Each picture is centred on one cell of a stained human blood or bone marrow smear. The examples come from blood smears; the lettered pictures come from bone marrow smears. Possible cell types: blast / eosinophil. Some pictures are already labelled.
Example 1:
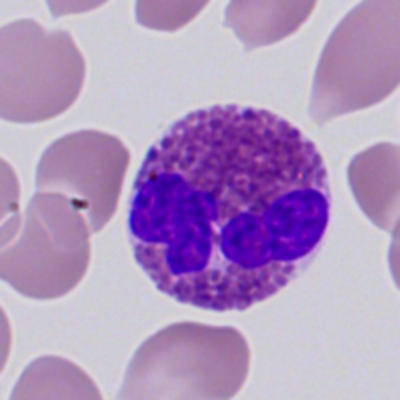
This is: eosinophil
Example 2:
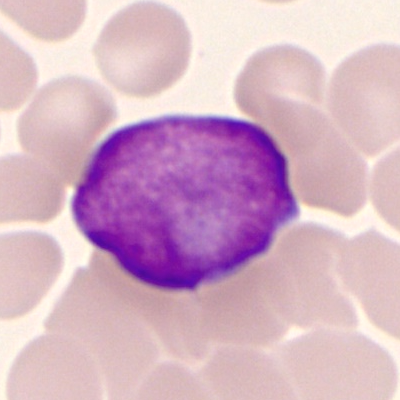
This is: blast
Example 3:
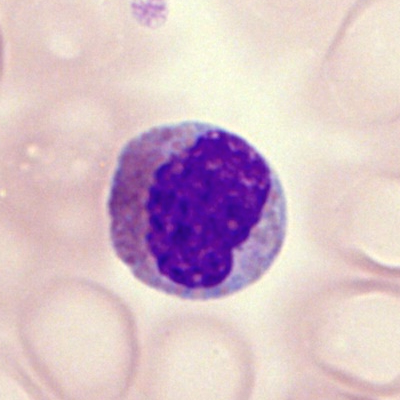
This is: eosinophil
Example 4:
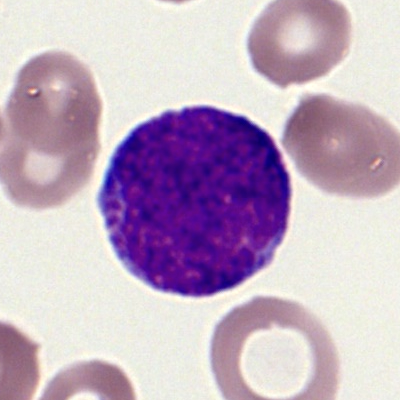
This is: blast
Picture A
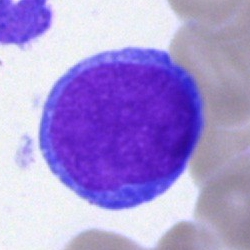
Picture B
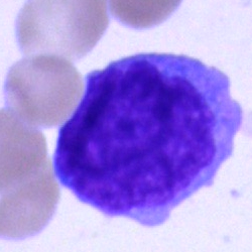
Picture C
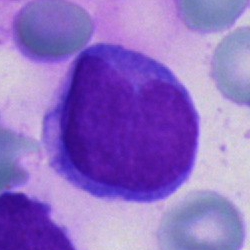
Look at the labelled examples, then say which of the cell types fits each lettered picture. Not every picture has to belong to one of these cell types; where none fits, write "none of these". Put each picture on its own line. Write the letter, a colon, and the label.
A: blast
B: blast
C: blast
